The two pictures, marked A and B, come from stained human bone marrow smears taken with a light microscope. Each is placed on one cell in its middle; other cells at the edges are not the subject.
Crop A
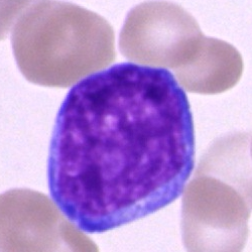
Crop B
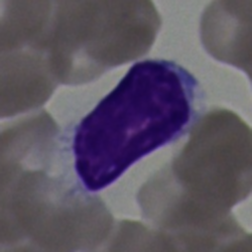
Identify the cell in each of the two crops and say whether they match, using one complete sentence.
No, the cell shown in crop A is a blast, and the cell shown in crop B is a lymphocyte.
